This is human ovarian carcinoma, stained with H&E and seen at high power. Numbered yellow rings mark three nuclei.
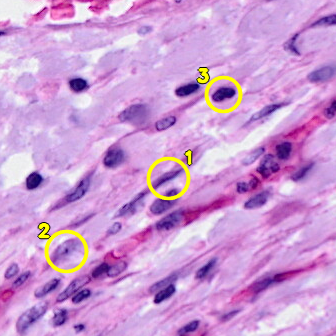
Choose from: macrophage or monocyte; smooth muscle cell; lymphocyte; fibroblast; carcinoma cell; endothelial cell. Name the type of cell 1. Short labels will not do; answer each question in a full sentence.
Looking at the numbered marks, cell 1 is a fibroblast.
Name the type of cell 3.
Denoted by the label 3 in the section is a lymphocyte.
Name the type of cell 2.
Identified by the number 2, the cell is a fibroblast.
